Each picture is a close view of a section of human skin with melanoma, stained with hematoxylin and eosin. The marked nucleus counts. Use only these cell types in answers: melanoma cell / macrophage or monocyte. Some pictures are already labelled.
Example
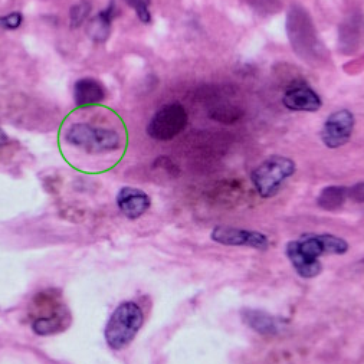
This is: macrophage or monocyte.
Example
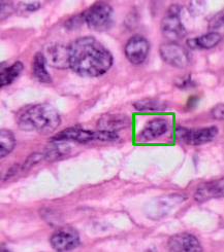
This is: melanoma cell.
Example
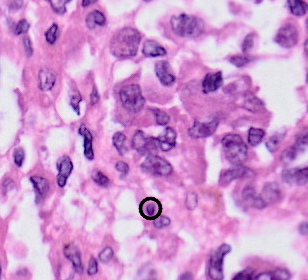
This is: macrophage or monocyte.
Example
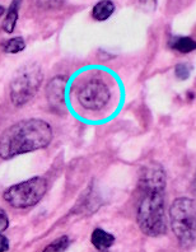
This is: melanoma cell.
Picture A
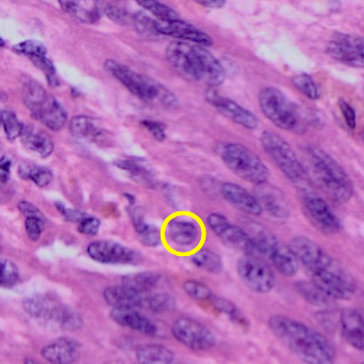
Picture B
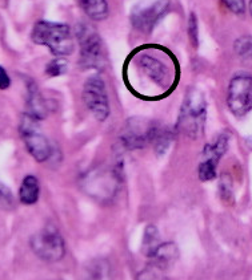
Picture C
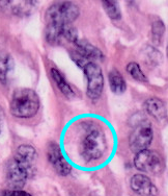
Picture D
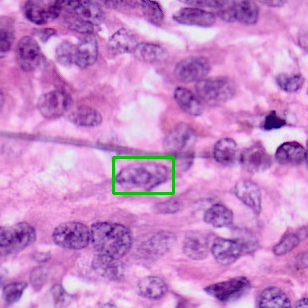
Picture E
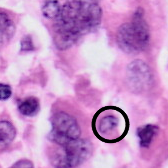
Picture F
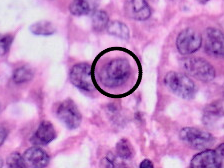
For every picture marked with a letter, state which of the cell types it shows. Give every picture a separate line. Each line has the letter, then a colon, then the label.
A: melanoma cell.
B: melanoma cell.
C: melanoma cell.
D: melanoma cell.
E: macrophage or monocyte.
F: melanoma cell.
